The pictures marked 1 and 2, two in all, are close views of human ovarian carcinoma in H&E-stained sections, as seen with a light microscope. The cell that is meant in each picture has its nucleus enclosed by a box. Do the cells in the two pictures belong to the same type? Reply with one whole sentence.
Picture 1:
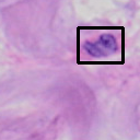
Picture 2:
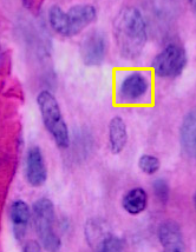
No. Picture 1 shows a “macrophage or monocyte”, but picture 2 shows a lymphocyte.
